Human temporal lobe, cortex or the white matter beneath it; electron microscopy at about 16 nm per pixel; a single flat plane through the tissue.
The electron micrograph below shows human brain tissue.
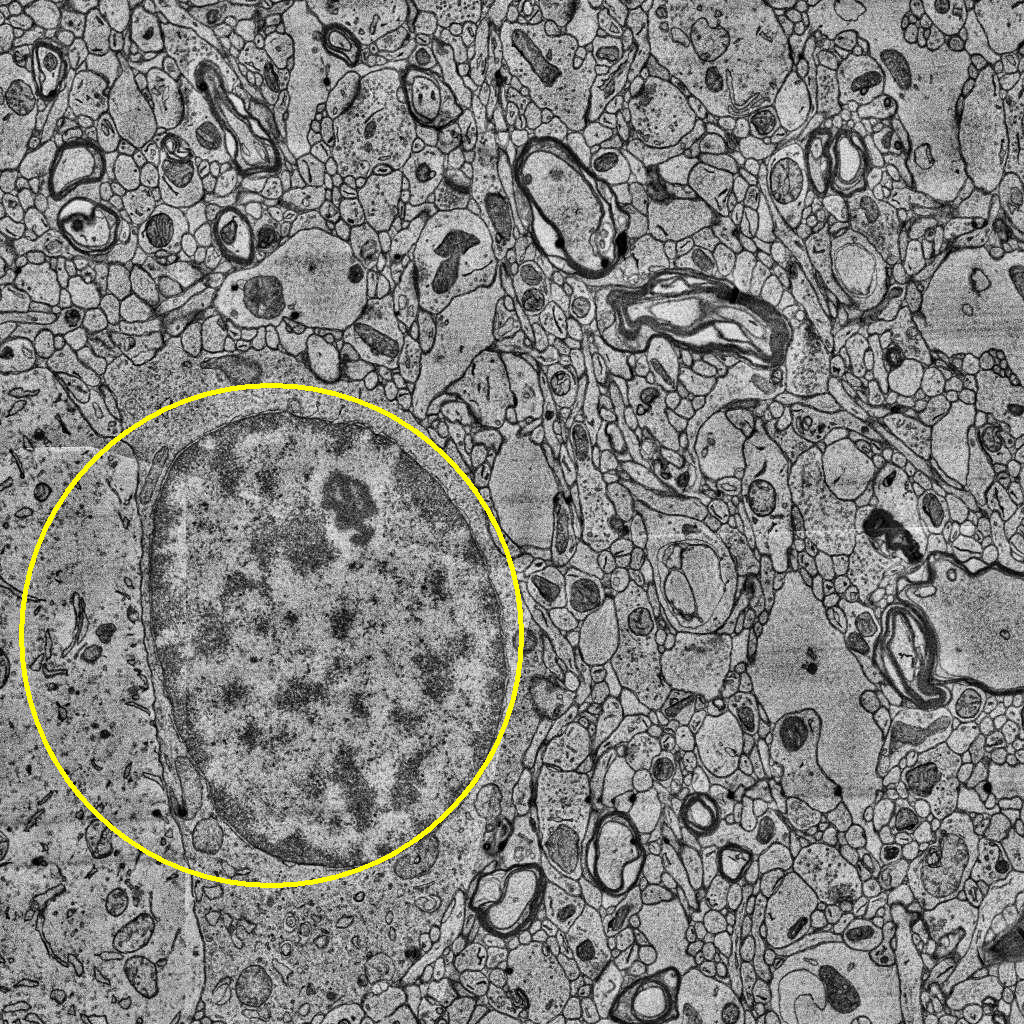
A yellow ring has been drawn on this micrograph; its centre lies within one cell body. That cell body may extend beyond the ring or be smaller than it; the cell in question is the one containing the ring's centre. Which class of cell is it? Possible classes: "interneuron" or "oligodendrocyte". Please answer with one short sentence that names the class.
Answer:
In the centre of the ring sits an oligodendrocyte.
